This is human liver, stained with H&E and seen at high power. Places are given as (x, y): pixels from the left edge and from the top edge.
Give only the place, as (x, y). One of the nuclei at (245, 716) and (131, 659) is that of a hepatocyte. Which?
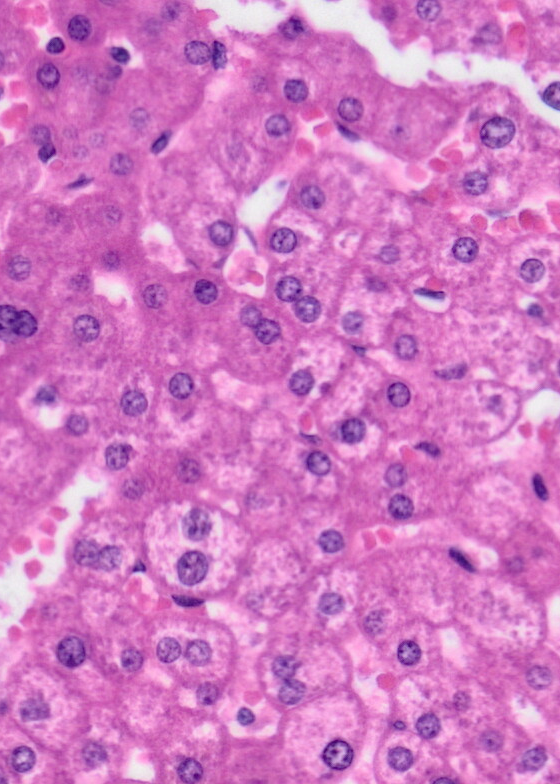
(131, 659)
